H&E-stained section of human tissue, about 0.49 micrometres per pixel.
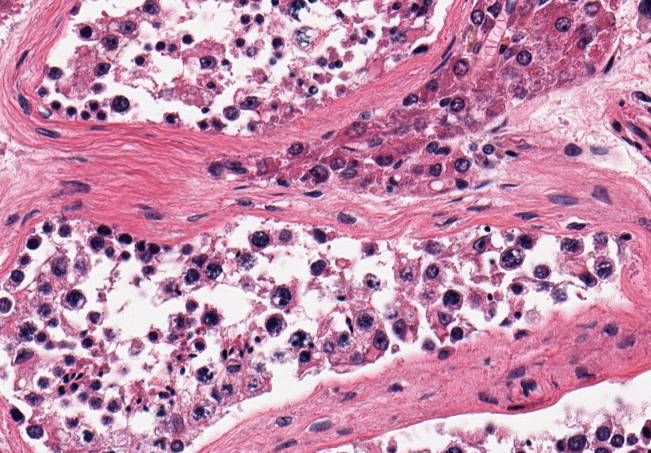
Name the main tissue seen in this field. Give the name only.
seminiferous tubule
